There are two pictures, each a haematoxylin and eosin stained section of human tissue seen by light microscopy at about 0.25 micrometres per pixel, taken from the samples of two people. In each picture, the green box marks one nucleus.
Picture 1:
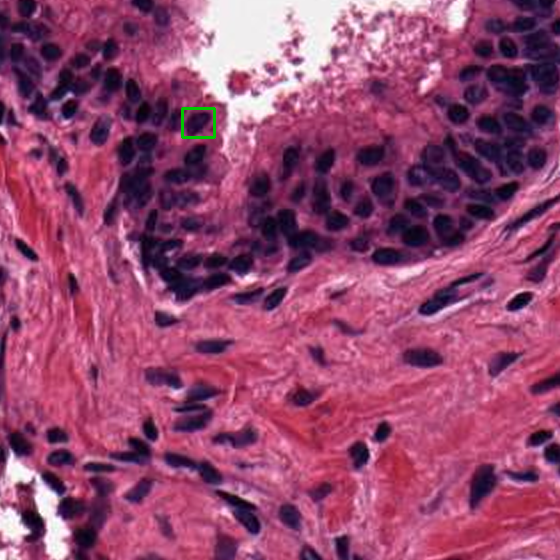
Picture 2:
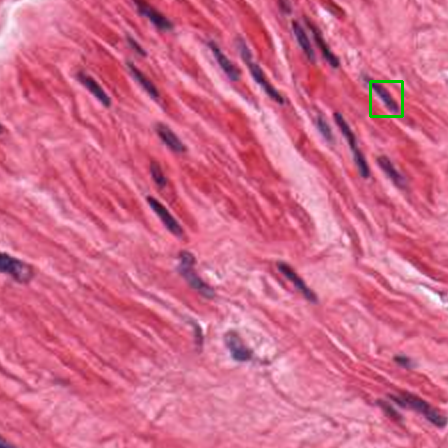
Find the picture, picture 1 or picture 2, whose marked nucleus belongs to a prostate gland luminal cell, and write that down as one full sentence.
Belonging to a prostate gland luminal cell is the marked nucleus of picture 1.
